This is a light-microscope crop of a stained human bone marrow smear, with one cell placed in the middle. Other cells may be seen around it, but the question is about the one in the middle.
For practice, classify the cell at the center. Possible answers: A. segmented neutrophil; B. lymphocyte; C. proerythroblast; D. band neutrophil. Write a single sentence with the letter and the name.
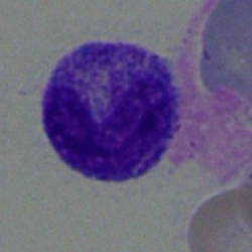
The correct identification, given in option D, is that the central cell is a band neutrophil.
